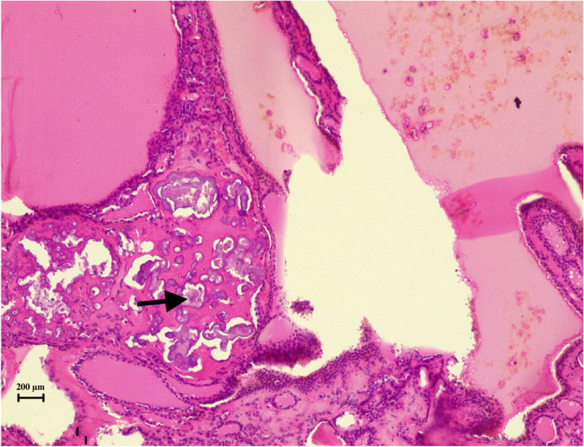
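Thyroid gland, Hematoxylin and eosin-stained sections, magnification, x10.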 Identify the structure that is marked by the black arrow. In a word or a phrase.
Psammoma bodies.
